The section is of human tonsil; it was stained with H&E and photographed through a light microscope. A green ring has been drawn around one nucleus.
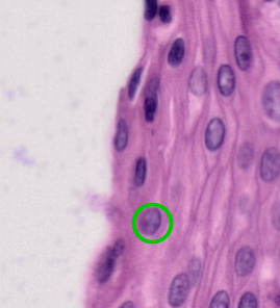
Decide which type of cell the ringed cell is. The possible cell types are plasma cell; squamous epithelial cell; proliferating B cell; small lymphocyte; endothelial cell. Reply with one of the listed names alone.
squamous epithelial cell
